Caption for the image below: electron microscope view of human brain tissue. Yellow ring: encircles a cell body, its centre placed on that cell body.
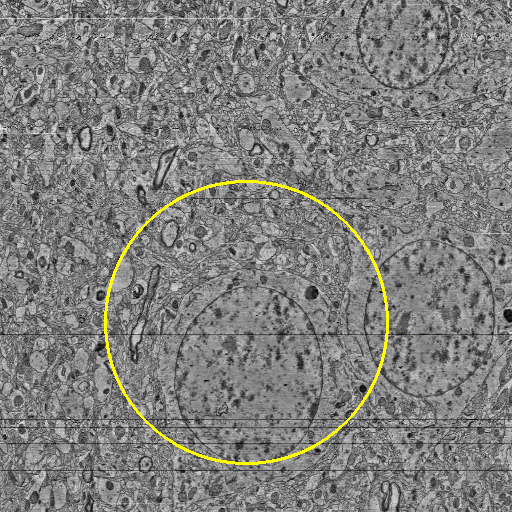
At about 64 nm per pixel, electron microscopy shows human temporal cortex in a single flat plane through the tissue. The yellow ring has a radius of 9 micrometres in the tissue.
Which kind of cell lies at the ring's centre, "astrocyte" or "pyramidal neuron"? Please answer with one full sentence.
The picture shows a pyramidal neuron at the centre of the yellow ring.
